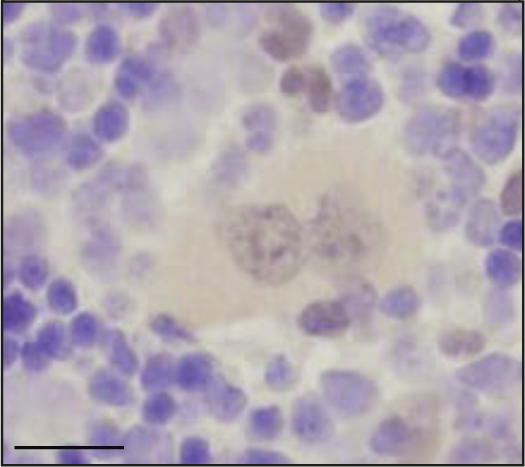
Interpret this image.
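This enlarged view of marrow shows many small round cells with dense blue-purple nuclei. Near the centre sits one very large cell with broad, pale pinkish-tan cytoplasm and a big, irregular, lobed nucleus. The brown-tinted cells stand out among the otherwise purple-staining marrow cells.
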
